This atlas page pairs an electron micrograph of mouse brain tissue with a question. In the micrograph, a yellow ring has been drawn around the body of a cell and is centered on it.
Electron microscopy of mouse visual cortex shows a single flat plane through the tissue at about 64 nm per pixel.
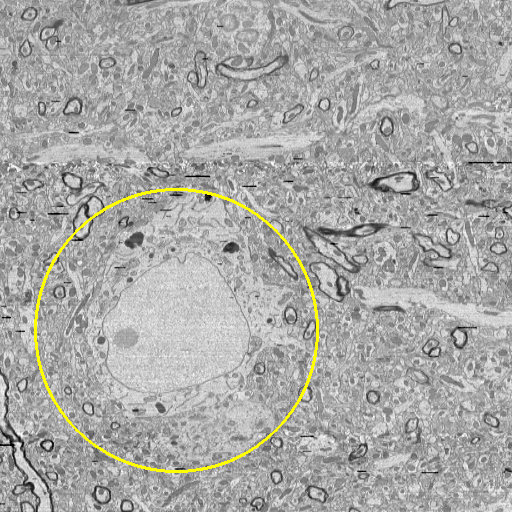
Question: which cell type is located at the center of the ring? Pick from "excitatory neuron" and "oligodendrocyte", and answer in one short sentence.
Located at the center of the ring is an excitatory neuron.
